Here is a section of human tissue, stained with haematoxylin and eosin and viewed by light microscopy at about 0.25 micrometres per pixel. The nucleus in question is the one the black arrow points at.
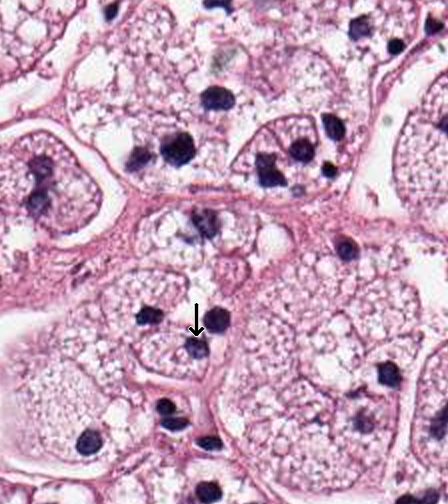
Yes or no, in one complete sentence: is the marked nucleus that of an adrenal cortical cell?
Yes, the nucleus that has been marked is that of an adrenal cortical cell.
